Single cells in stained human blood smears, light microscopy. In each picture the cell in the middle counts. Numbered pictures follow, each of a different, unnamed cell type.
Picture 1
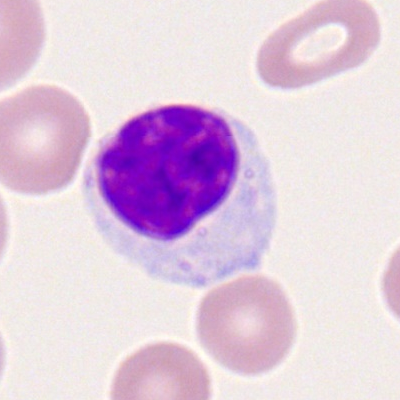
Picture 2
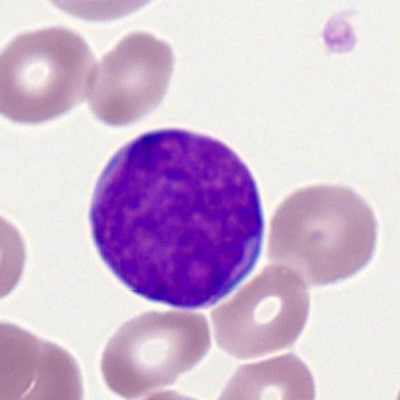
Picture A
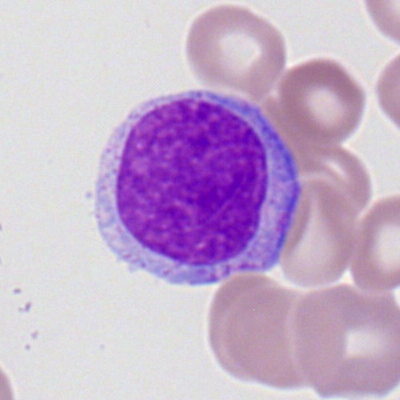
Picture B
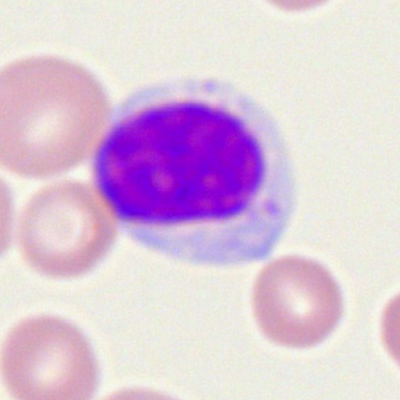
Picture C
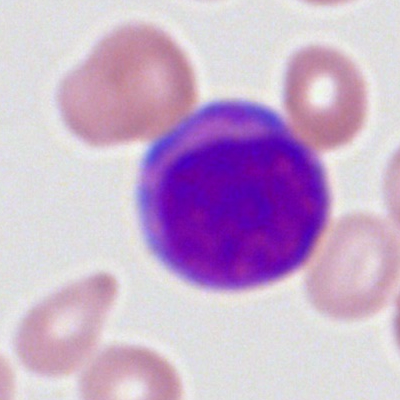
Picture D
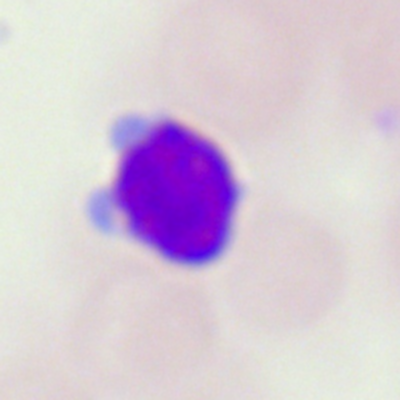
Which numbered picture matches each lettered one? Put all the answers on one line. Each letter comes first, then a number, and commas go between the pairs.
A 2, B 1, C 2, D 1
